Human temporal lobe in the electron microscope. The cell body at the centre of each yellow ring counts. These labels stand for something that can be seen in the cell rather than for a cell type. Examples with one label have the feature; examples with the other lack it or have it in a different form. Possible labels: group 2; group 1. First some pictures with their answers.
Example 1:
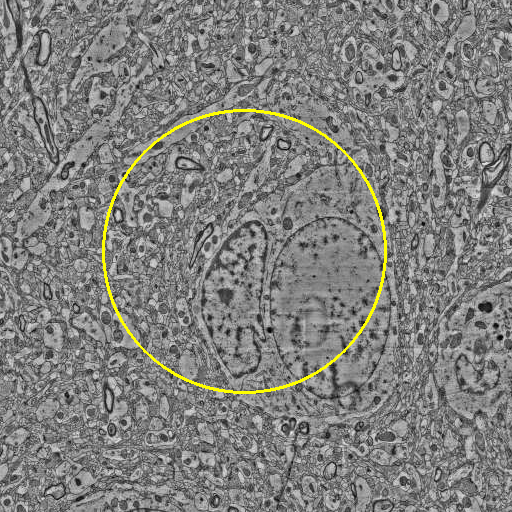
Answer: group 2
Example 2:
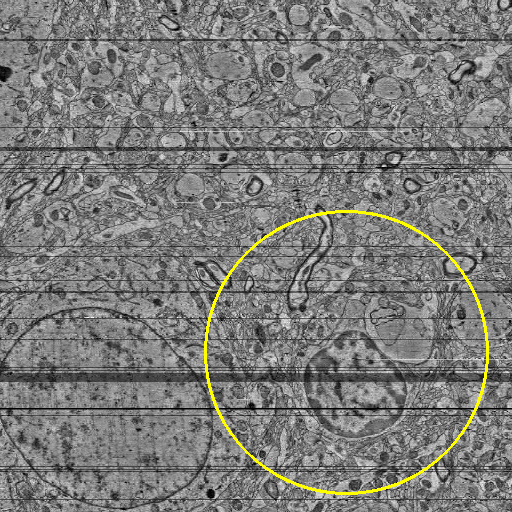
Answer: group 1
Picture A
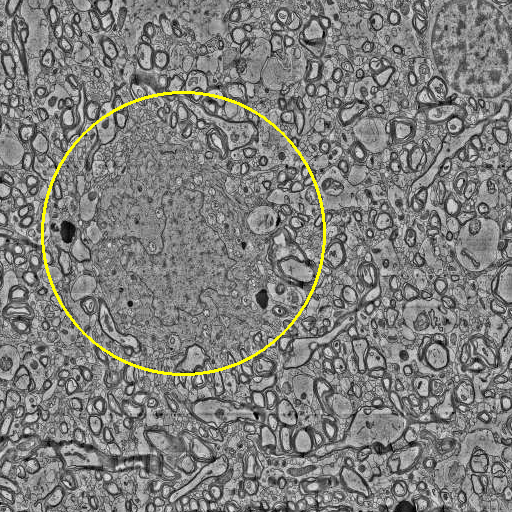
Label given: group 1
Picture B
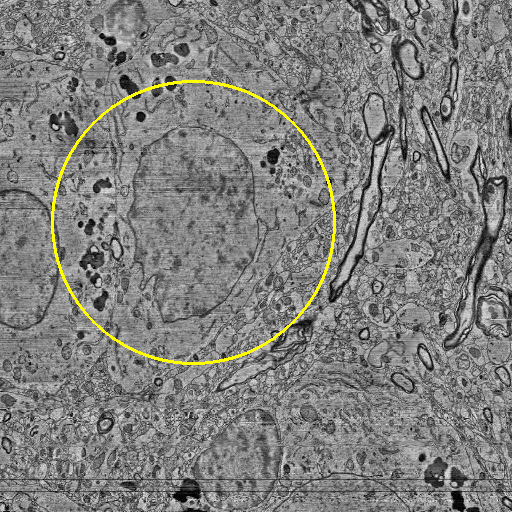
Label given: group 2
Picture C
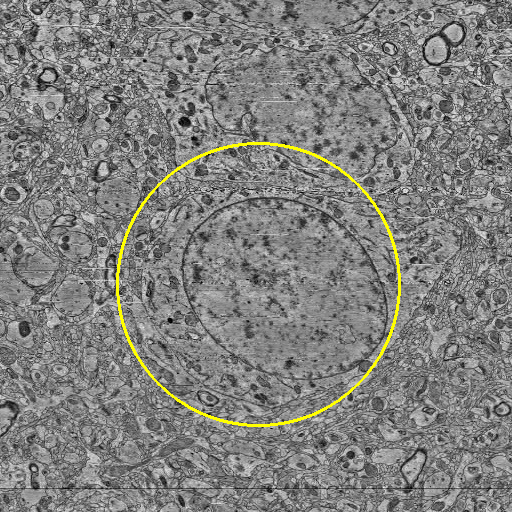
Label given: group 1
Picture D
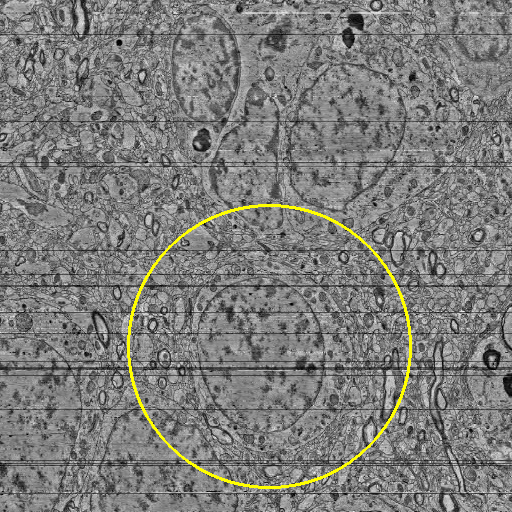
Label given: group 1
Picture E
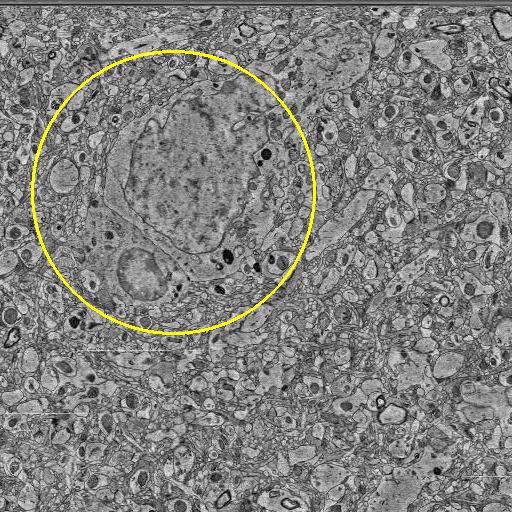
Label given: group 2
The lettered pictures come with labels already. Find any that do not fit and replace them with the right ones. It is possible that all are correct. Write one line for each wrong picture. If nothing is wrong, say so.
Wrong: A (group 1); correct: group 2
